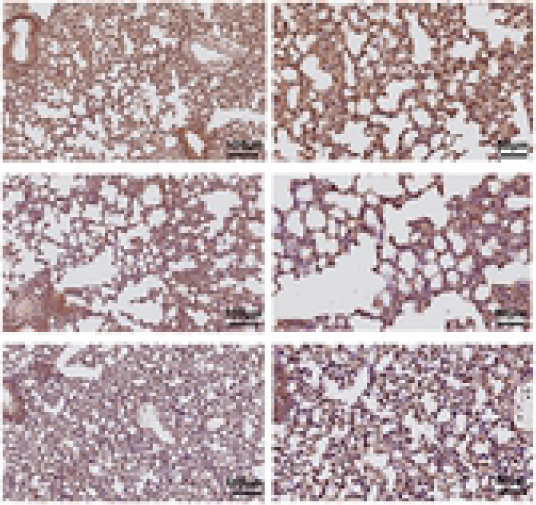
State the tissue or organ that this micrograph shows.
Lung.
